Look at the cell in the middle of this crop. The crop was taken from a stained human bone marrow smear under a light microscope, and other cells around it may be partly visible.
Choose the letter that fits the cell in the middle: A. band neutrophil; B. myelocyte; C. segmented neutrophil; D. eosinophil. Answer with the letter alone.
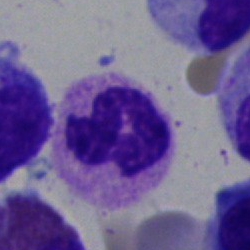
C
